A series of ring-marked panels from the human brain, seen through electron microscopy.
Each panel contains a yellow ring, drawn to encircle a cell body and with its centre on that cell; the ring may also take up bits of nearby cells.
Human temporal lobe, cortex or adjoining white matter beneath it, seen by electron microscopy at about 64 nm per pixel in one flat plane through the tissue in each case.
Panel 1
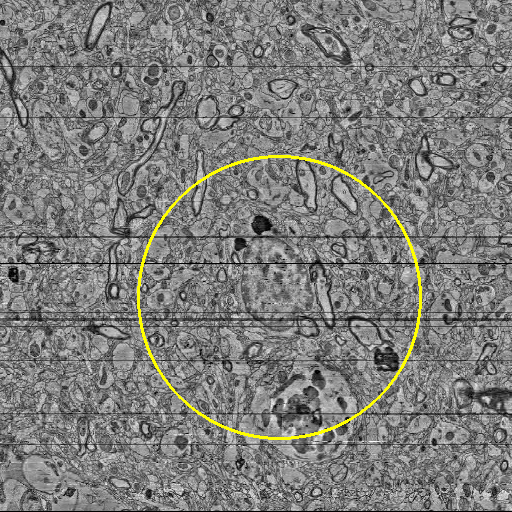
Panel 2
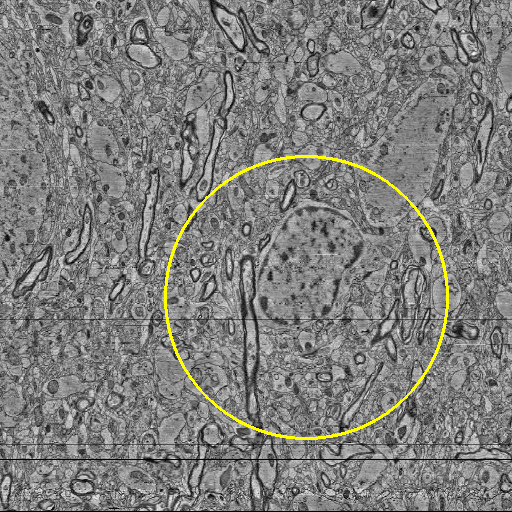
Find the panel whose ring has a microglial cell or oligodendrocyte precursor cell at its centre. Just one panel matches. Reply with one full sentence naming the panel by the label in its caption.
The sought cell lies at the centre of the ring shown in Panel 2.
